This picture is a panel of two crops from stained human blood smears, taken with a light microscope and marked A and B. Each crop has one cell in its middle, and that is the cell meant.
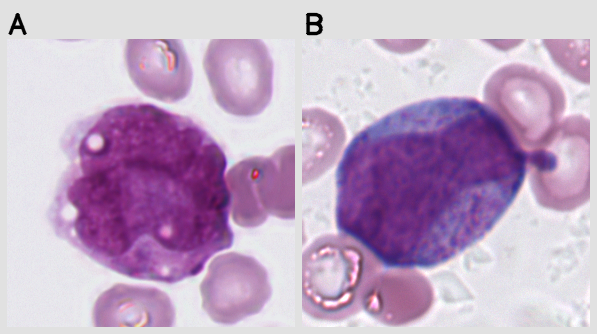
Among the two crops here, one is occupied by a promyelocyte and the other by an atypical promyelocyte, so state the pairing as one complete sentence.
Crop A displays an atypical promyelocyte, and crop B displays a promyelocyte.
